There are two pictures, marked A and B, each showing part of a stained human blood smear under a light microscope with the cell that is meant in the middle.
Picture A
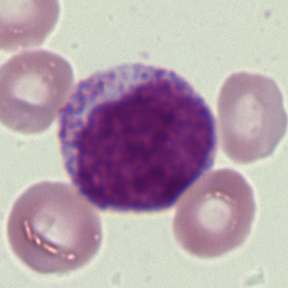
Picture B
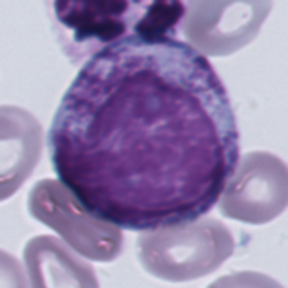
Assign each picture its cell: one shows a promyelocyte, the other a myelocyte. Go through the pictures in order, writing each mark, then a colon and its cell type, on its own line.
A: myelocyte
B: promyelocyte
